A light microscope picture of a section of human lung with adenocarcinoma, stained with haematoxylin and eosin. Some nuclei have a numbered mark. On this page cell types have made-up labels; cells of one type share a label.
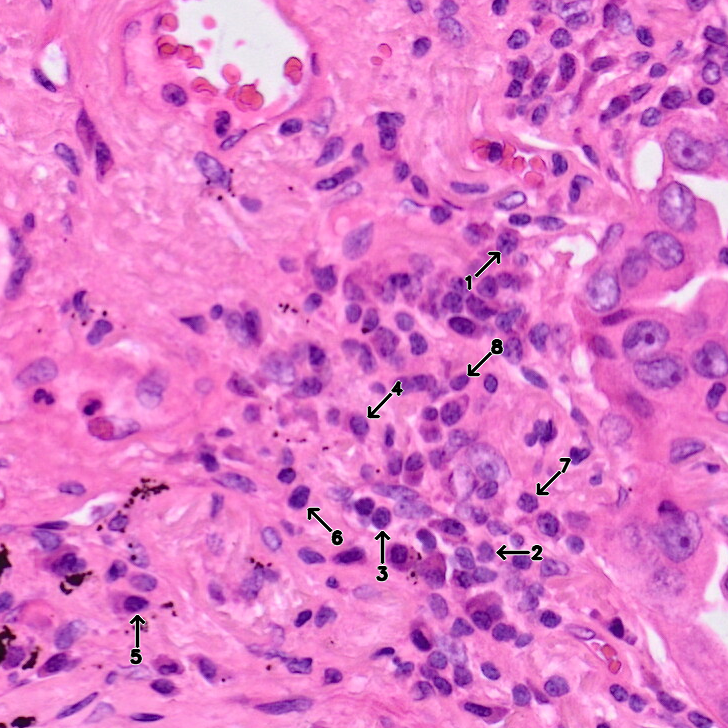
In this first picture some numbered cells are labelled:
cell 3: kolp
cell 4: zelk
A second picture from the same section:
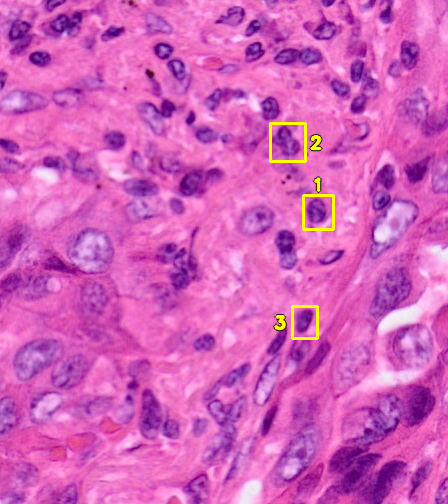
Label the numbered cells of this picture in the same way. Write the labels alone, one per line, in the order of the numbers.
zelk
zelk
kolp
